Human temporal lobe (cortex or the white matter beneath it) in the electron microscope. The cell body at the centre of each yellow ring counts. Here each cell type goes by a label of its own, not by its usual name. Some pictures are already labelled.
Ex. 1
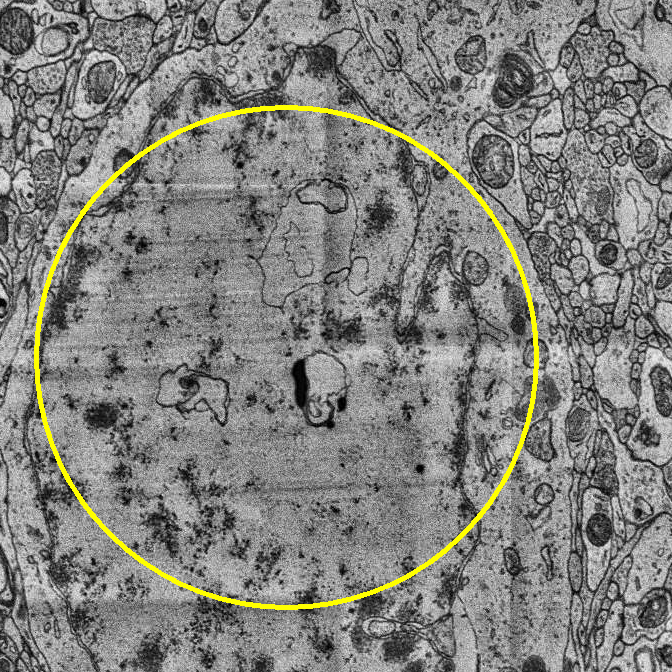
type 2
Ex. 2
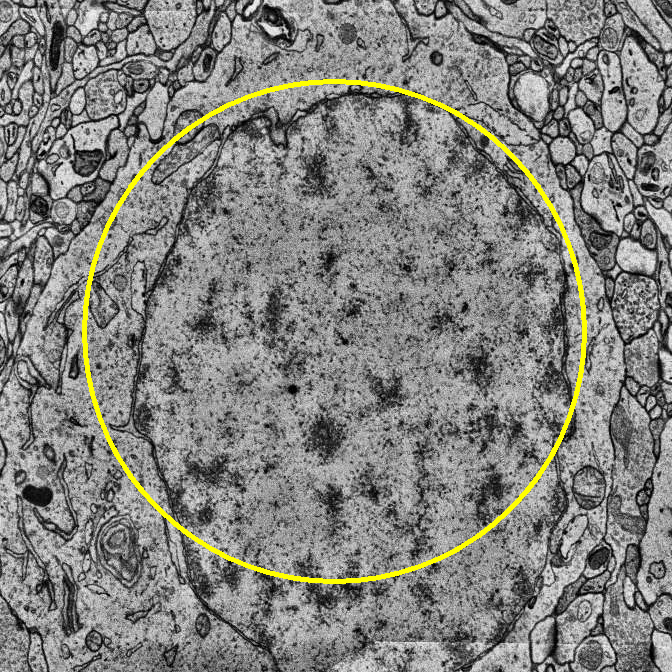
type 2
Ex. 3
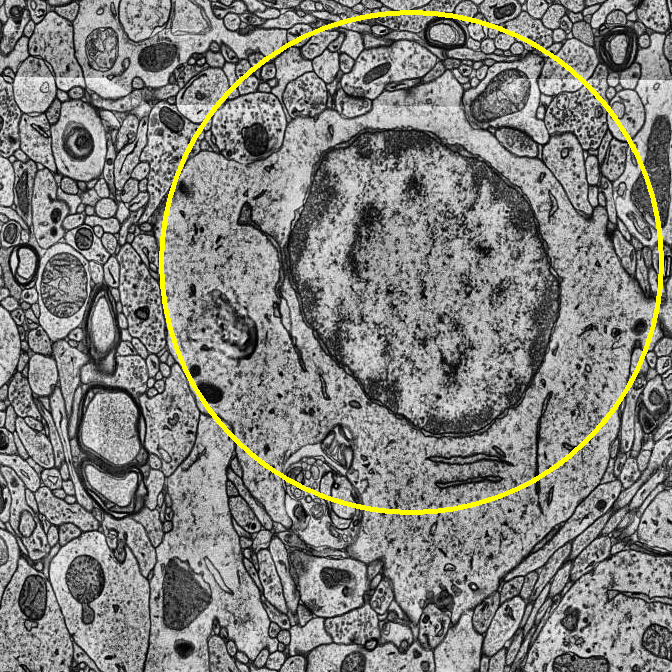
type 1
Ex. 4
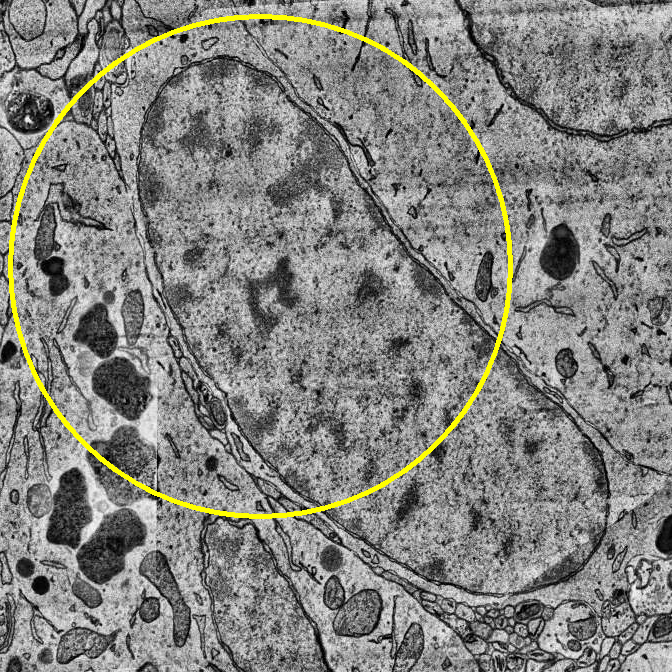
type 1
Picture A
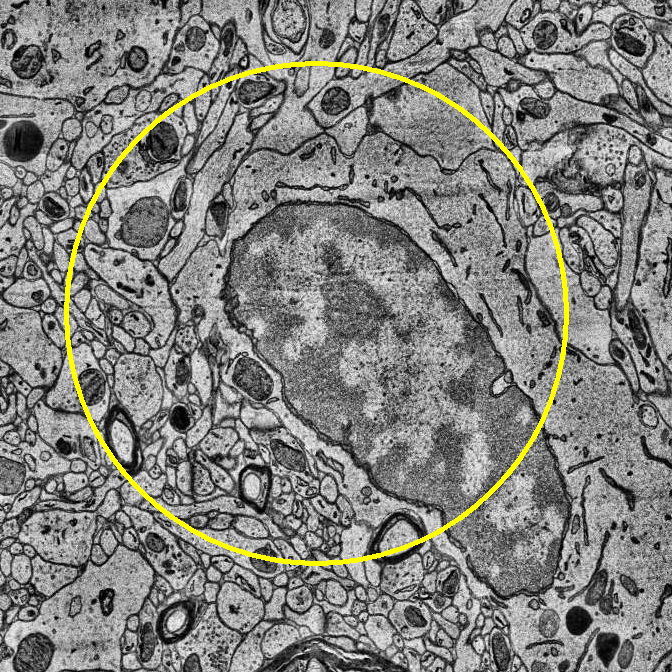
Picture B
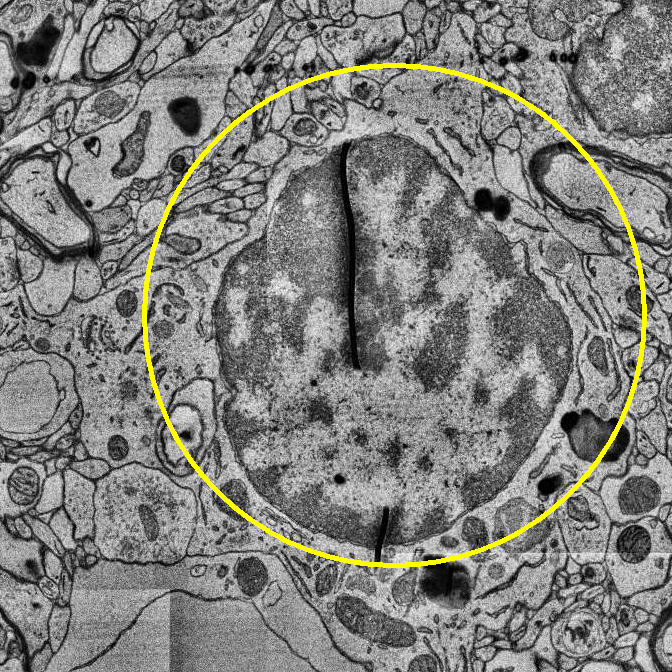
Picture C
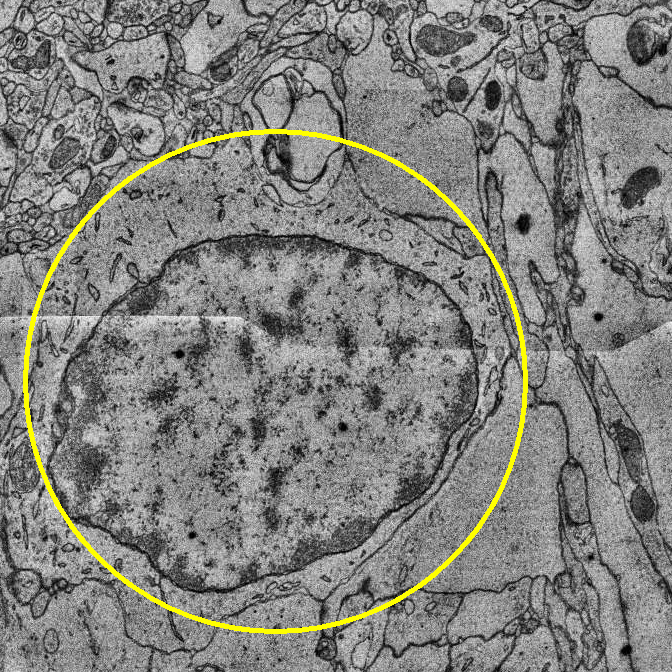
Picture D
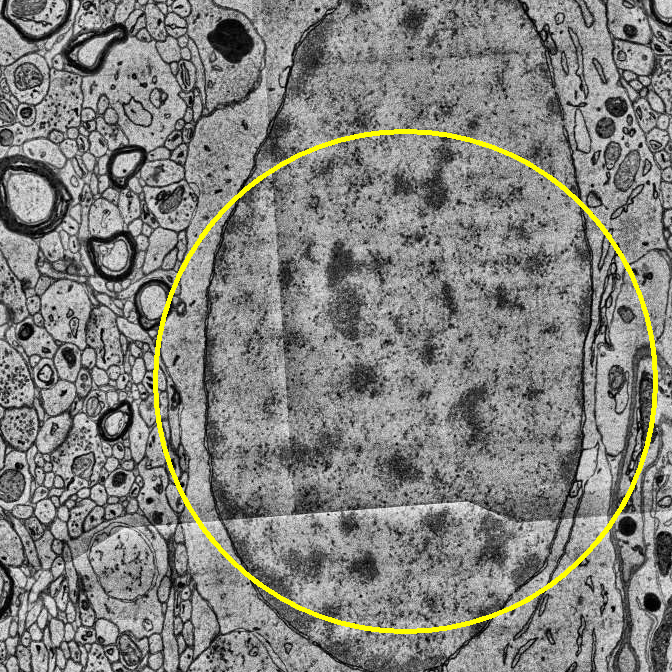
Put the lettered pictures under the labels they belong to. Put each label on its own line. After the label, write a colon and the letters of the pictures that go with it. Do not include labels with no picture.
type 1: A, B, C, D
